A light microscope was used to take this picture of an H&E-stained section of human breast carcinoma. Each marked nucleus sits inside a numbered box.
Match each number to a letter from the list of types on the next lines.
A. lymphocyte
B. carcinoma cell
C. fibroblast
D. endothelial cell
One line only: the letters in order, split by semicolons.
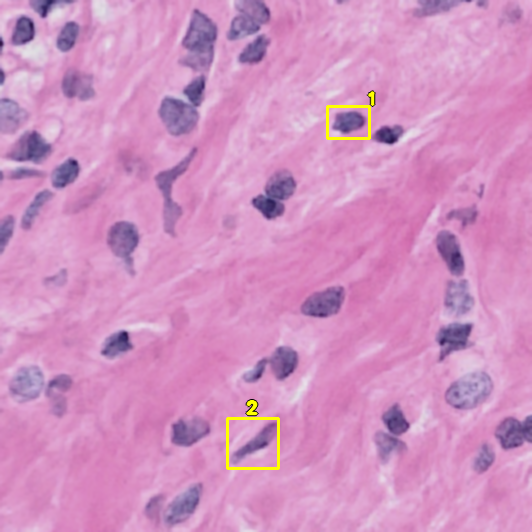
A; C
